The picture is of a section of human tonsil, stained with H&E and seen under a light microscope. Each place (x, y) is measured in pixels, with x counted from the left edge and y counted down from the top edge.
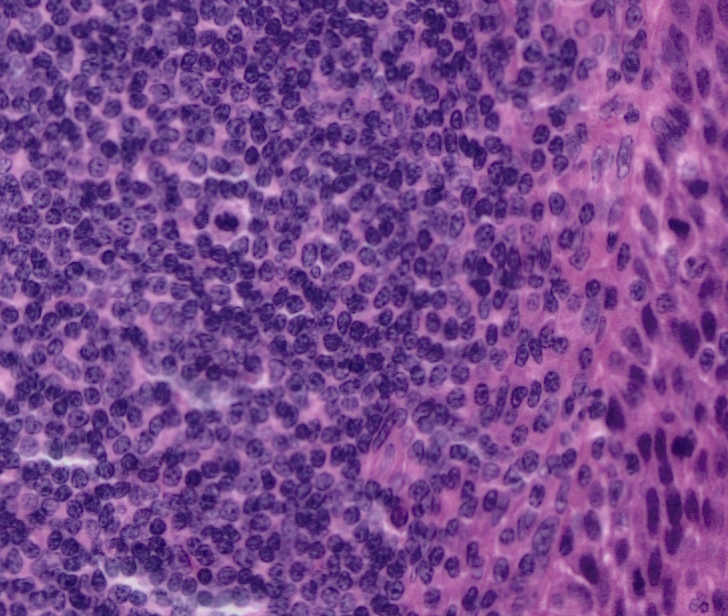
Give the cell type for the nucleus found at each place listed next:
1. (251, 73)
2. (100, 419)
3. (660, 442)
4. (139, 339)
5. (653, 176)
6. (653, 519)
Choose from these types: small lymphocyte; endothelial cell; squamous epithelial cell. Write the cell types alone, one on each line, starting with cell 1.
small lymphocyte
small lymphocyte
squamous epithelial cell
small lymphocyte
squamous epithelial cell
squamous epithelial cell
